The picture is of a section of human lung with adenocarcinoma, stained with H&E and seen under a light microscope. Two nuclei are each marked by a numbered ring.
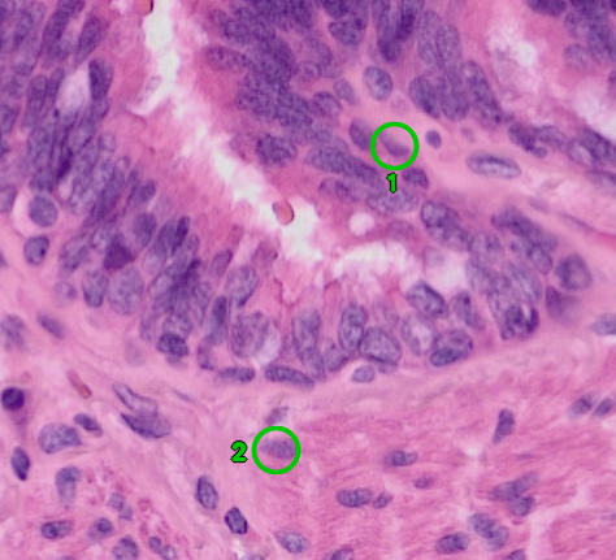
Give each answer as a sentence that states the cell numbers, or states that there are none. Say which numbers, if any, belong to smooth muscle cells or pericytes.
Among the marked cells, cell number 2 alone is a smooth muscle cell or pericyte.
